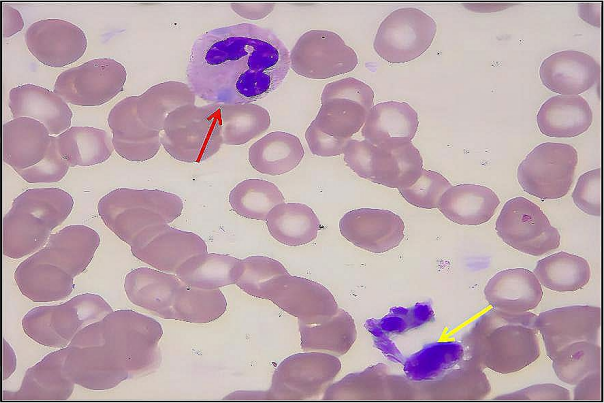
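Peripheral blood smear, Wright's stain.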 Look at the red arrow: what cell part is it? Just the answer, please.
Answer: Döhle-like cytoplasmic inclusion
